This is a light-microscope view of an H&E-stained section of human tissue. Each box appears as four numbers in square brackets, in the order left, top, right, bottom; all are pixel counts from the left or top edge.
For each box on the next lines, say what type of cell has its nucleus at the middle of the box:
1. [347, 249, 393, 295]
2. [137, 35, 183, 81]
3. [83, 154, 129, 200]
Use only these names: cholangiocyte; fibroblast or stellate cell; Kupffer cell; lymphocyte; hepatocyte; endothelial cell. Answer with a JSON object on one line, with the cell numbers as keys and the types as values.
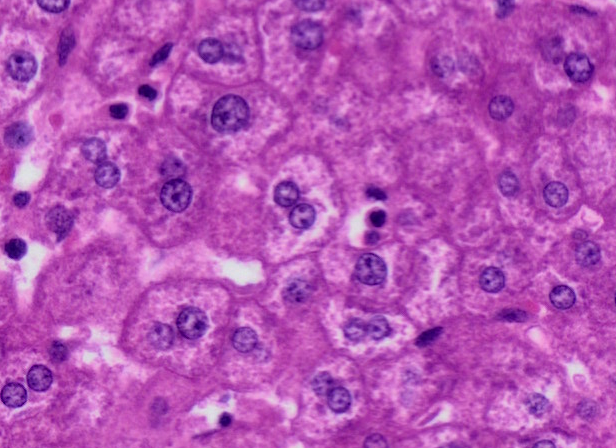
{"1": "hepatocyte", "2": "endothelial cell", "3": "hepatocyte"}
